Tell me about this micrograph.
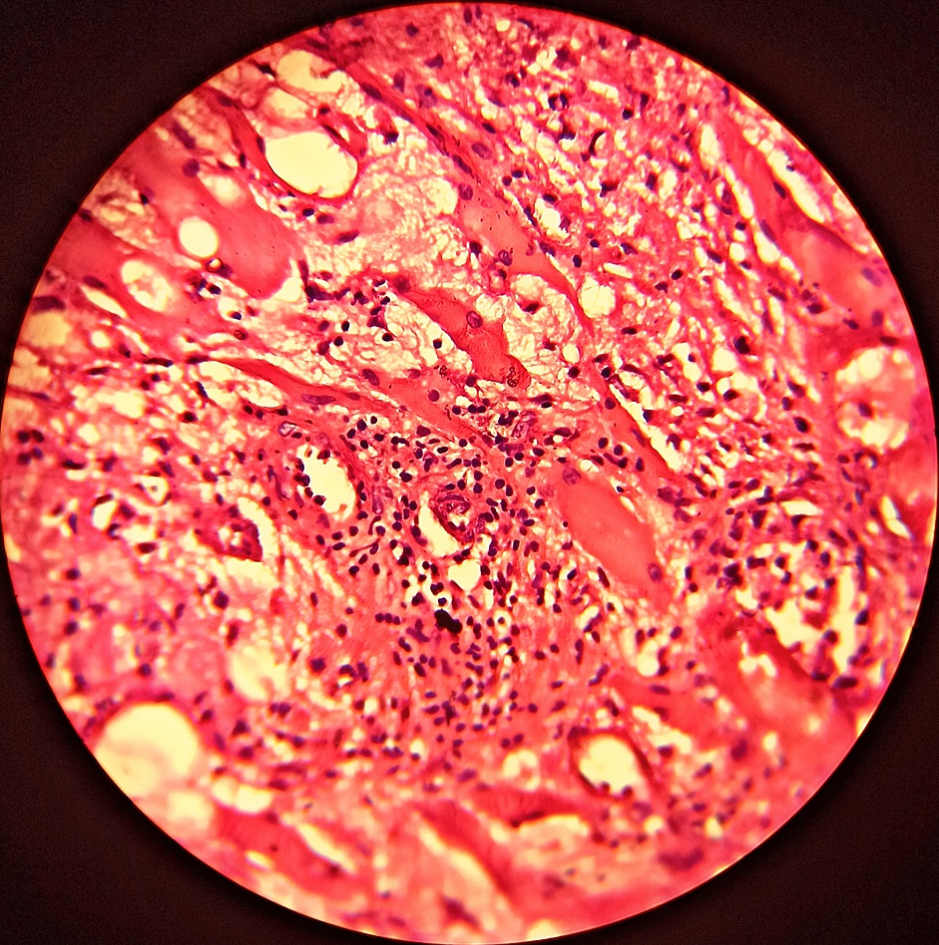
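Fibrous and fatty tissue is infiltrated by a central group of lymphocytes, small cells with round, dark purple nuclei and scant cytoplasm. Around them lie broad bands of pink fibrous stroma, looser pale areas and scattered clear, empty rounded spaces.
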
